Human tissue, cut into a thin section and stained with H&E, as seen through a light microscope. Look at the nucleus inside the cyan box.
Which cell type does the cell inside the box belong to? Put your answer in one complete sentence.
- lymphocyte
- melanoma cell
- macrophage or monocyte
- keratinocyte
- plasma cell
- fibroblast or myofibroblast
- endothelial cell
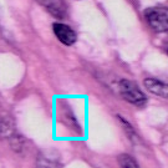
The cell meant here is an endothelial cell.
